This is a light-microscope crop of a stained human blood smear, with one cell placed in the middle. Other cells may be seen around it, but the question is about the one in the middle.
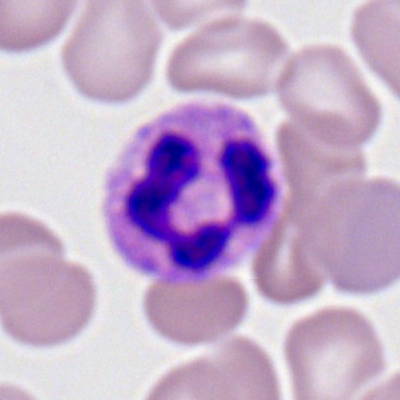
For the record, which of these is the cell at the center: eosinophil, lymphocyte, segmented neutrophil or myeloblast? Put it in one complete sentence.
The middle of this crop holds a segmented neutrophil.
